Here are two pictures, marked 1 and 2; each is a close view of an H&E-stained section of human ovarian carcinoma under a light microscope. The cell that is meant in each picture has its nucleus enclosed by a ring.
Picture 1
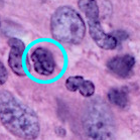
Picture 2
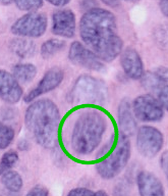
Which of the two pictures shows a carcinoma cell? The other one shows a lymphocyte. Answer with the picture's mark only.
2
